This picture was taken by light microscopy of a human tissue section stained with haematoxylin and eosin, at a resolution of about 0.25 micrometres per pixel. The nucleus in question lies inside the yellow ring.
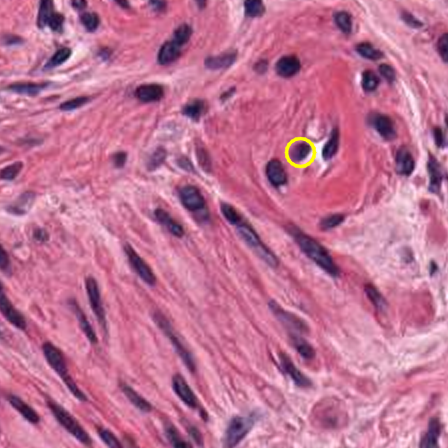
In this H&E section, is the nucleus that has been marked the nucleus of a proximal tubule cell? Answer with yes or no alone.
no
